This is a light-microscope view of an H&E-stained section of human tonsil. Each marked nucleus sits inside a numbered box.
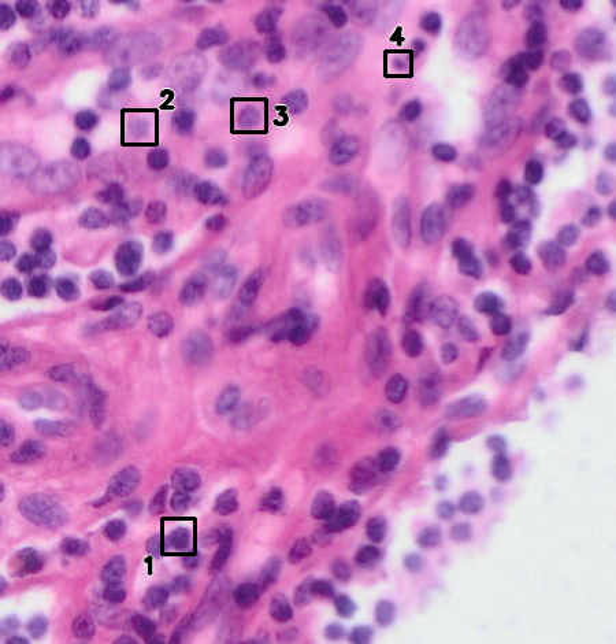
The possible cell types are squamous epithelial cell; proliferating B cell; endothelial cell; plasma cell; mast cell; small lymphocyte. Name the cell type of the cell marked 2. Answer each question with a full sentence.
Cell 2 is classified as an endothelial cell.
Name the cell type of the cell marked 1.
Identified by the number 1, the cell is a small lymphocyte.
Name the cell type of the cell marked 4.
The cell that bears the number 4 is an endothelial cell.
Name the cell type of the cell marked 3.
Denoted by the label 3 in the section is an endothelial cell.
